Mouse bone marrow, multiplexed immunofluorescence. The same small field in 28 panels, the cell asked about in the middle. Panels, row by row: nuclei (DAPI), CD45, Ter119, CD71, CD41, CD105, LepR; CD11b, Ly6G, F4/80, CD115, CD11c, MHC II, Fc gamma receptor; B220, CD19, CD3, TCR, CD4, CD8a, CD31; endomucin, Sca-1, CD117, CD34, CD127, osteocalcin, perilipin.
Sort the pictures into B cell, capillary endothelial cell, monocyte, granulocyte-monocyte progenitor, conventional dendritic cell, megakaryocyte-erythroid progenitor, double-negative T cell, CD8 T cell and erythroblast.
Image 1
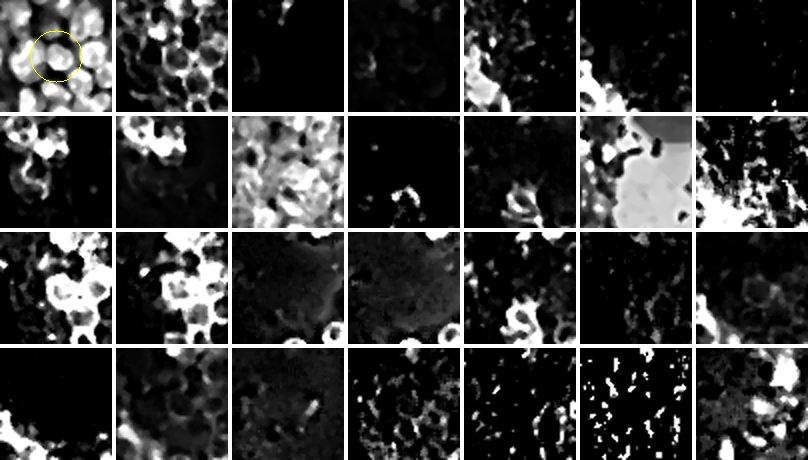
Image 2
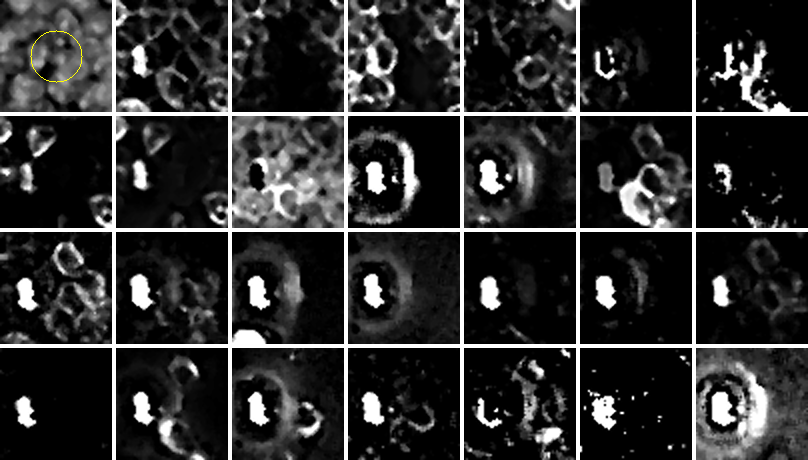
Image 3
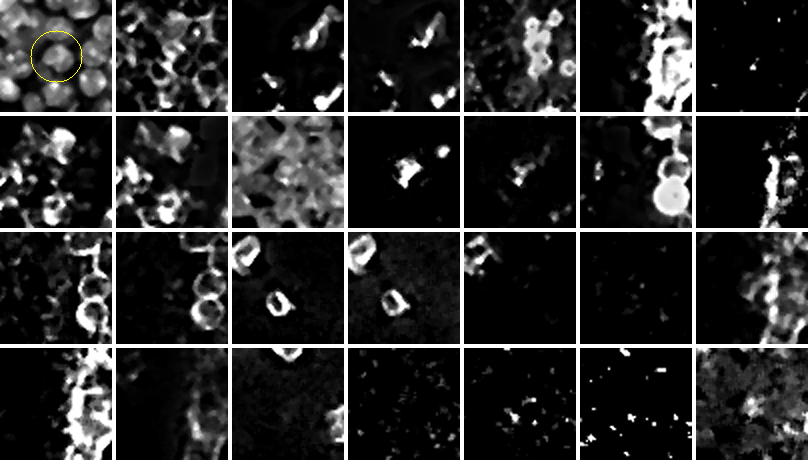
B cells: 1
Conventional dendritic cells: 2
Monocytes: 3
